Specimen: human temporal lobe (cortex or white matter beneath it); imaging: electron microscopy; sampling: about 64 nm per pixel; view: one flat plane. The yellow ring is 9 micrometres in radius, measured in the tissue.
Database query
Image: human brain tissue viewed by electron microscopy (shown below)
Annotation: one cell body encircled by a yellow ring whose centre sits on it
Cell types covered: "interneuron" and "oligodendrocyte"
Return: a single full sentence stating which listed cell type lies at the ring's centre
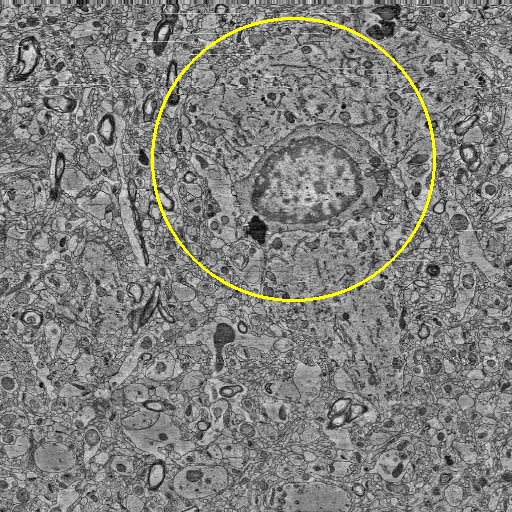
In the image, the cell lying at the ring's centre is an oligodendrocyte.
